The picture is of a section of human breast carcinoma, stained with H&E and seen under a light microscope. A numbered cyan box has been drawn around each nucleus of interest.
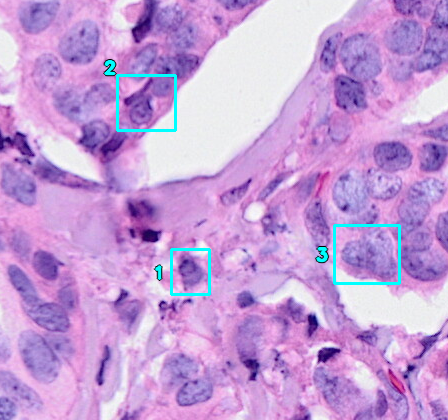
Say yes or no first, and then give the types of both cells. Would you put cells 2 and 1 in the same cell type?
No, cell 2 is categorized as a carcinoma cell, while cell 1 is categorized as a macrophage, monocyte or dendritic cell.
